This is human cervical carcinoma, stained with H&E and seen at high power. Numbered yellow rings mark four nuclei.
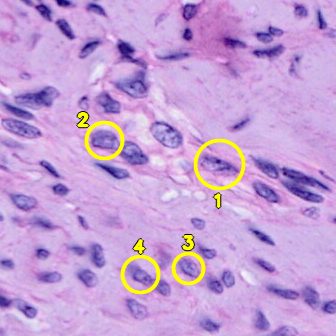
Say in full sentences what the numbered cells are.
Cell 1 is an endothelial cell, cell 2 is an endothelial cell, cell 3 is a smooth muscle cell and cell 4 is a smooth muscle cell.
